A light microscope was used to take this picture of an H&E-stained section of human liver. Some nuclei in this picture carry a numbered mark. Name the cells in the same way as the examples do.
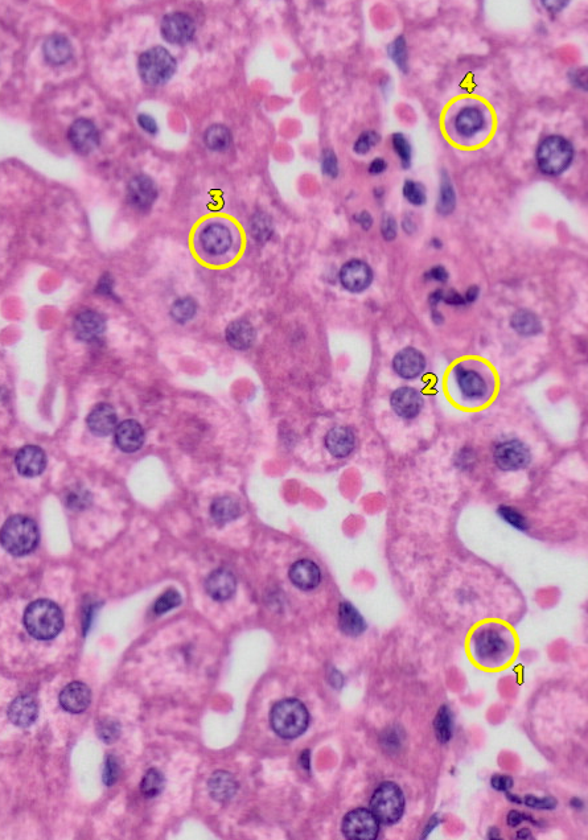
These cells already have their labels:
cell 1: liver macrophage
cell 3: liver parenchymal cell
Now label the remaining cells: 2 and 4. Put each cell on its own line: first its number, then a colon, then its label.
2: liver macrophage
4: liver parenchymal cell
